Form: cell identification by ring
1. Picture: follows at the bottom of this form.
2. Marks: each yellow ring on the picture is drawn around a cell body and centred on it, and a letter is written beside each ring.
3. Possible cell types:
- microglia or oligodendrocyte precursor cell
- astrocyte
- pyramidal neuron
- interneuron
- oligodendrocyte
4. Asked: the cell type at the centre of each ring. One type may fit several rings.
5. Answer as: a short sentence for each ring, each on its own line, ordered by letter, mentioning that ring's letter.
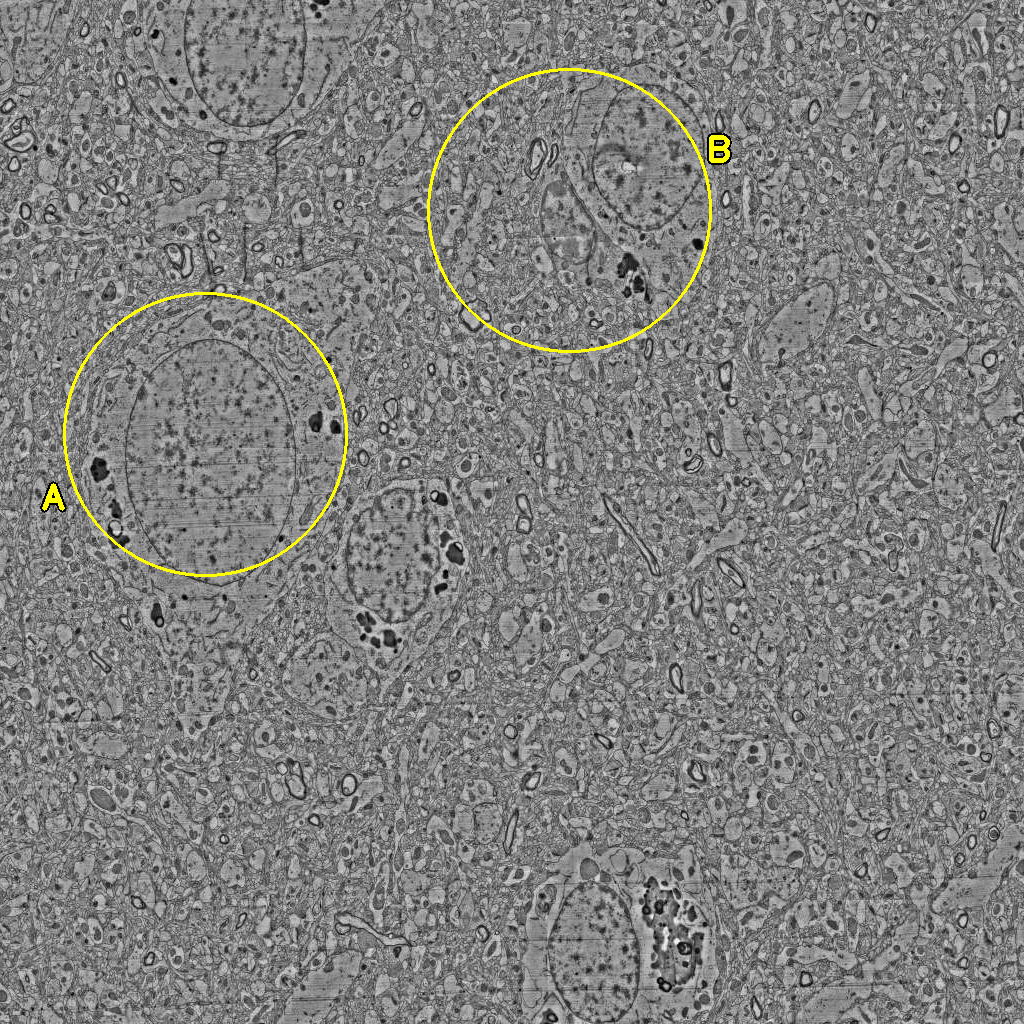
The cell at ring A's centre is a pyramidal neuron.
The cell at ring B's centre is an oligodendrocyte.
